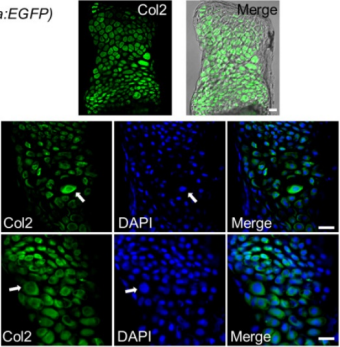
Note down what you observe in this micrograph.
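This is cartilage packed with chondrocytes, each seen as a rounded green cell lying close against its neighbours. A few cells stand out as much larger and brighter than those around them. In the blue channel each cell holds a single nucleus, seen as a dot or small oval inside the green outline. The overlay shows that the nuclei sit within the green cells, including the enlarged ones.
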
